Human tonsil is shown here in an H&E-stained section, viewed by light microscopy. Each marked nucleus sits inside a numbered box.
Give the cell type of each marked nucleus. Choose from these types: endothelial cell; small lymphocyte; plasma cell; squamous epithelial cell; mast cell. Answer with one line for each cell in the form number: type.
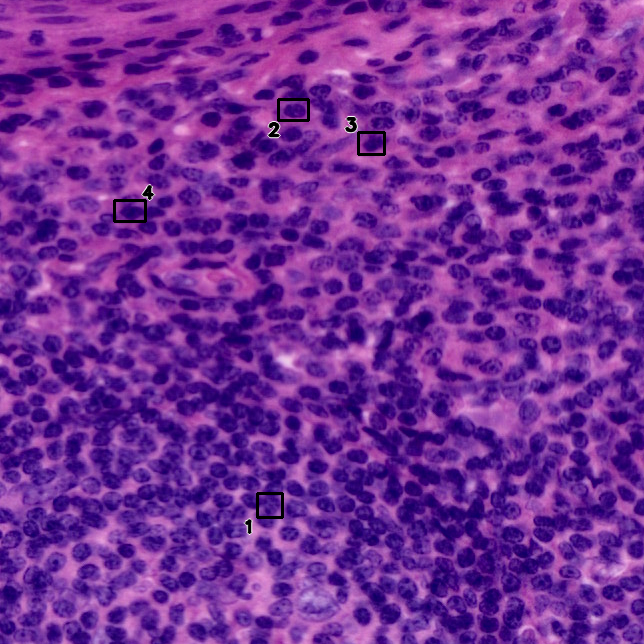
1: small lymphocyte
2: plasma cell
3: plasma cell
4: plasma cell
